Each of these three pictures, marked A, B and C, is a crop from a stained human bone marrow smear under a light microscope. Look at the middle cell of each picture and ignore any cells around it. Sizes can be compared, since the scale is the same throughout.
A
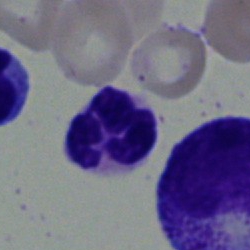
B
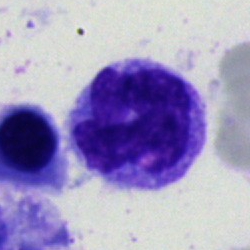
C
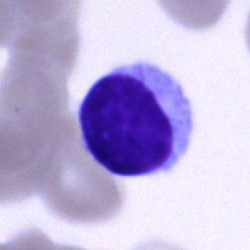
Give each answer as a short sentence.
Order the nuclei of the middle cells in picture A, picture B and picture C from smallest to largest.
From the smallest up, the order is A, C, B.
